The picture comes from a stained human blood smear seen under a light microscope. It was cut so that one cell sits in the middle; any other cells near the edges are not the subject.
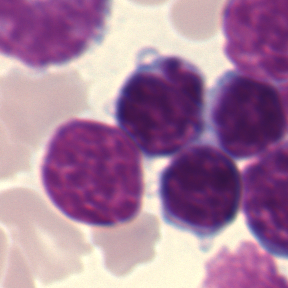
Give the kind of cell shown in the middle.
myeloblast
